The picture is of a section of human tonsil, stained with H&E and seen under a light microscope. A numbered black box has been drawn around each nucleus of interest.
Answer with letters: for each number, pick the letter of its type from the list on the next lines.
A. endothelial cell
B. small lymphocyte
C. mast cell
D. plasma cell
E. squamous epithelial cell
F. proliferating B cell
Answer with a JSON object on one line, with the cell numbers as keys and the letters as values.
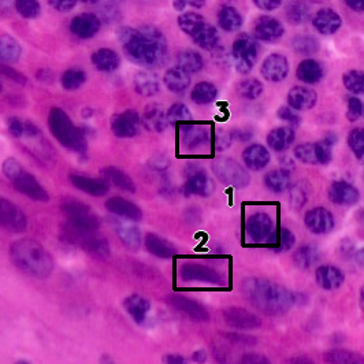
{"1": "D", "2": "E", "3": "D"}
